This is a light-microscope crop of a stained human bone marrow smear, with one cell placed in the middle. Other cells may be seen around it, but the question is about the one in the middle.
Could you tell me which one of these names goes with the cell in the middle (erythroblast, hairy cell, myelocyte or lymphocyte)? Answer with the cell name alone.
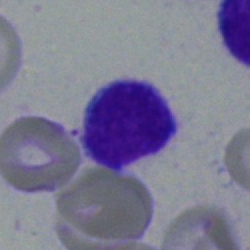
lymphocyte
